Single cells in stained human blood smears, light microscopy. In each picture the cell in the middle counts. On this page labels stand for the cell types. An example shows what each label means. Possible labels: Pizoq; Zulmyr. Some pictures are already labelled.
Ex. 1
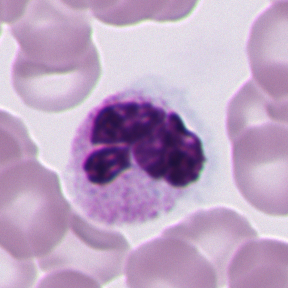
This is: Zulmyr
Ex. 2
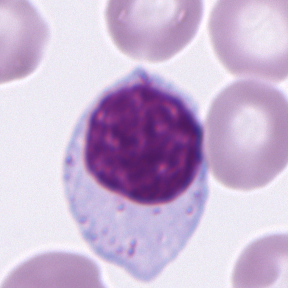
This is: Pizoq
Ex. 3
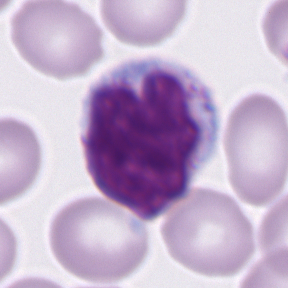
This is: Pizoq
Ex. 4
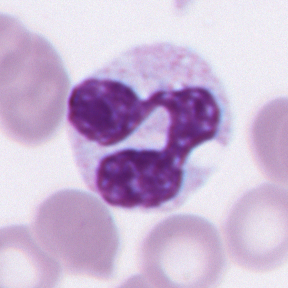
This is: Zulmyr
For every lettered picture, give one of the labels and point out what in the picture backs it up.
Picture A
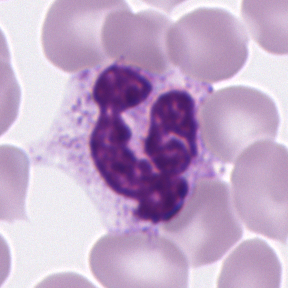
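Zulmyr. The nucleus is one continuous mass curled into a C-like shape with thick joins between its parts.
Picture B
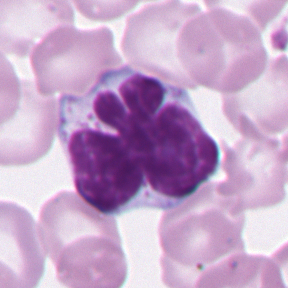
Pizoq. The cytoplasm forms a narrow rim that is pale greyish-blue.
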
